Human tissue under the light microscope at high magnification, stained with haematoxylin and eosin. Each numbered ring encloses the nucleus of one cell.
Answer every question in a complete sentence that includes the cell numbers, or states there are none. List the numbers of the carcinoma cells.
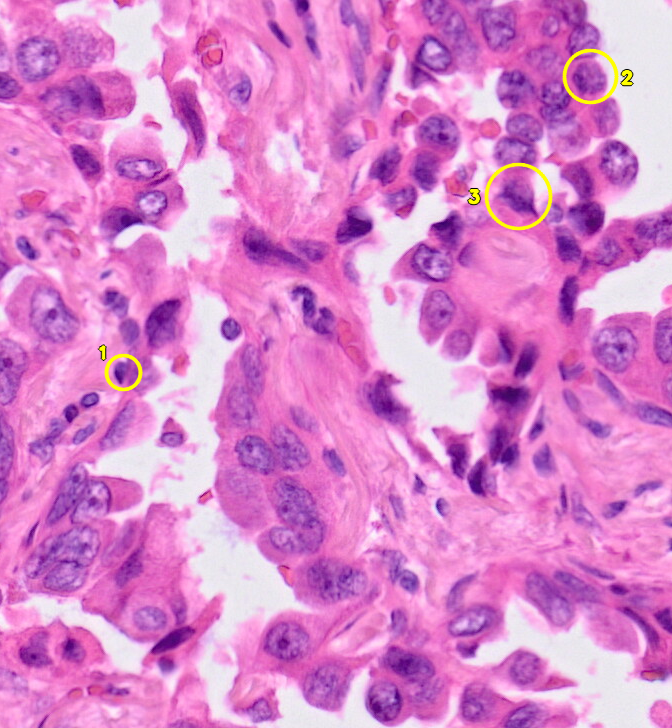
In this section, the cells labelled 2 and 3 are carcinoma cells.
